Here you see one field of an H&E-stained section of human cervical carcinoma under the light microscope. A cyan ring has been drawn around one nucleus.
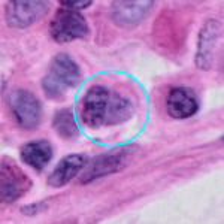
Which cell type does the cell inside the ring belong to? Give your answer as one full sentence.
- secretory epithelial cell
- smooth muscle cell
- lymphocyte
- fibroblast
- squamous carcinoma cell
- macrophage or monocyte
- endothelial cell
Within the stained tissue, the cell inside the ring is a macrophage or monocyte.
